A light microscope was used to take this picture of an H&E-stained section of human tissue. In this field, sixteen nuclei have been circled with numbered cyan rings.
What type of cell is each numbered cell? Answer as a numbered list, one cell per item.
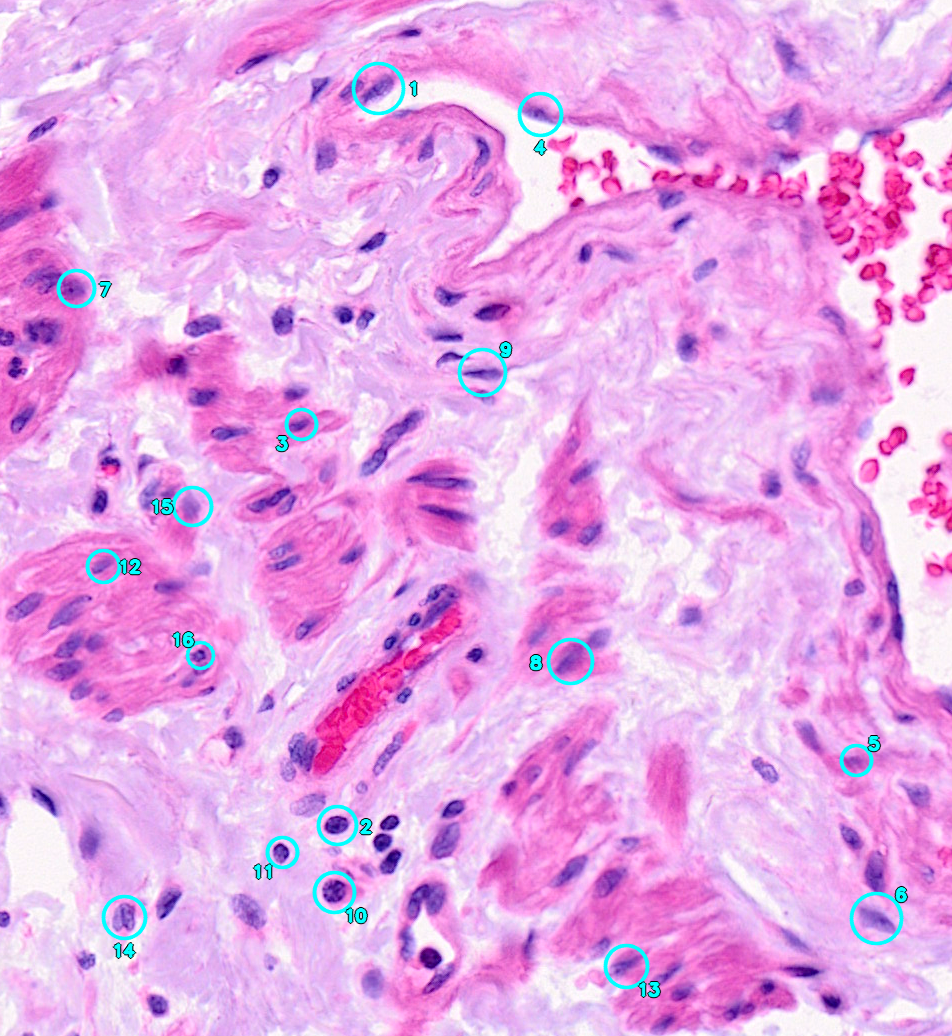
1. endothelial cell
2. lymphocyte
3. smooth muscle cell
4. endothelial cell
5. smooth muscle cell
6. fibroblast
7. smooth muscle cell
8. smooth muscle cell
9. fibroblast
10. lymphocyte
11. lymphocyte
12. smooth muscle cell
13. smooth muscle cell
14. macrophage or monocyte
15. smooth muscle cell
16. smooth muscle cell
